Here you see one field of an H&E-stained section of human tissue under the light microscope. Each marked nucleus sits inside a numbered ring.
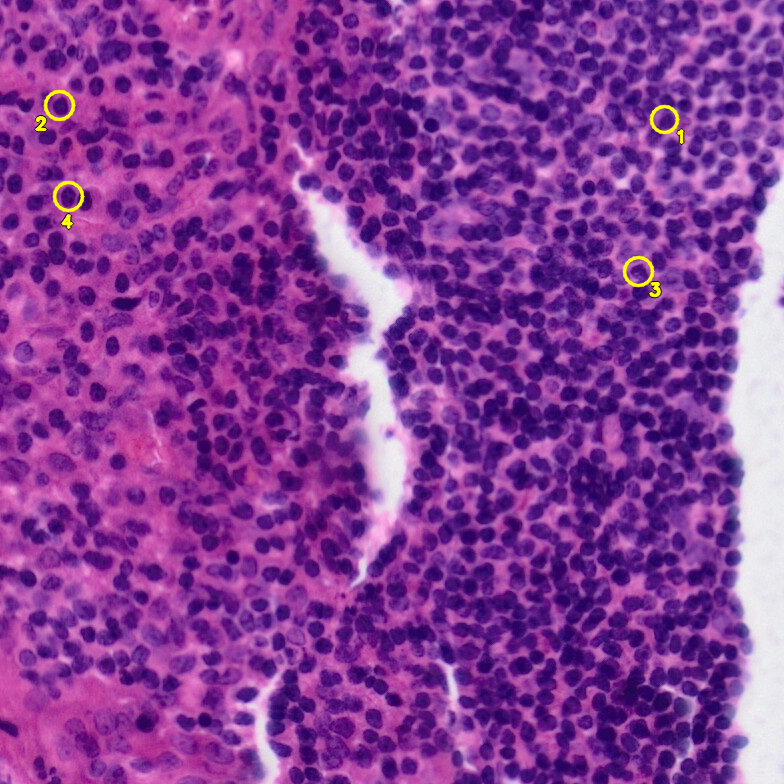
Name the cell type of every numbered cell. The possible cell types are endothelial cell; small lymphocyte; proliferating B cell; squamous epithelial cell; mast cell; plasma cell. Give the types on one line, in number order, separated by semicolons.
small lymphocyte; plasma cell; small lymphocyte; plasma cell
